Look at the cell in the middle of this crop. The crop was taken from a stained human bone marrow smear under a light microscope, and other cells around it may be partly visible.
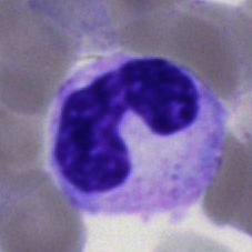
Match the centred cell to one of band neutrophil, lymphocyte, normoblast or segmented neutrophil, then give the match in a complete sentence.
The crop shows a band neutrophil in its centre.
